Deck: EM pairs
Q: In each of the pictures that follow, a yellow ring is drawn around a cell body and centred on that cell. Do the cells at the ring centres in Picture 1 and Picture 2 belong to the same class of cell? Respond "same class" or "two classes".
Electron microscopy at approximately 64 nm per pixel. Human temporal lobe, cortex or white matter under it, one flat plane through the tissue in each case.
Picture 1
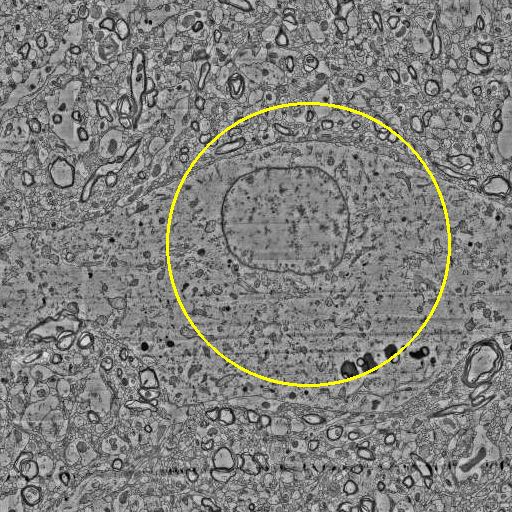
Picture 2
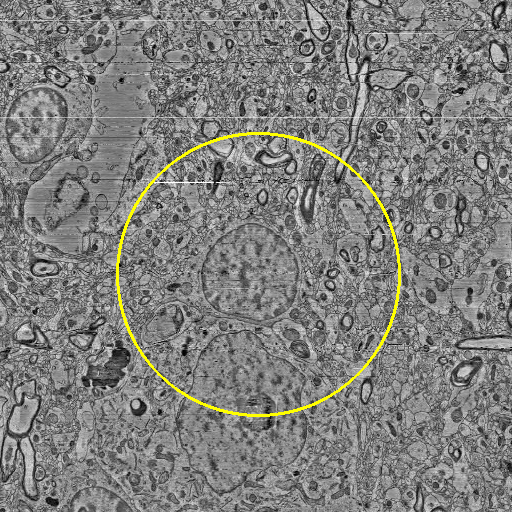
two classes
